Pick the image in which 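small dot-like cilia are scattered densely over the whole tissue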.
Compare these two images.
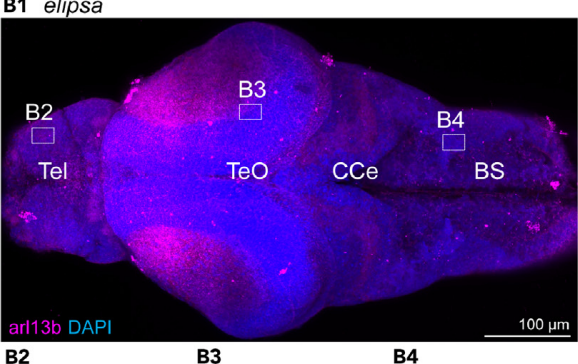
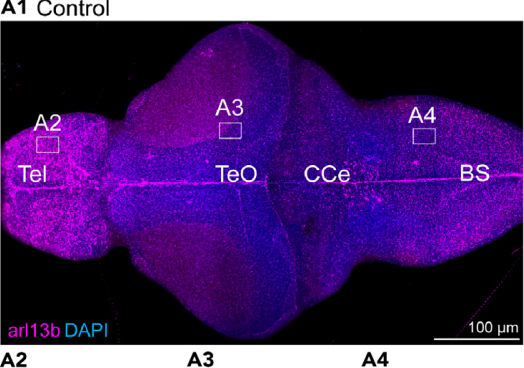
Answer: the second image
